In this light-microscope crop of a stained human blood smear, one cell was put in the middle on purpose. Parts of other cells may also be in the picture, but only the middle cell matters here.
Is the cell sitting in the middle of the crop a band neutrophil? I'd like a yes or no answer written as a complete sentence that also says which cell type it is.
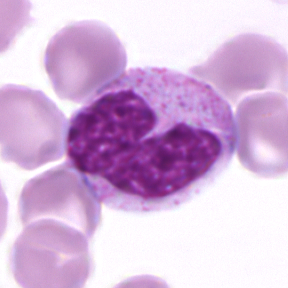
Yes, the cell of interest in the centre is a band neutrophil.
